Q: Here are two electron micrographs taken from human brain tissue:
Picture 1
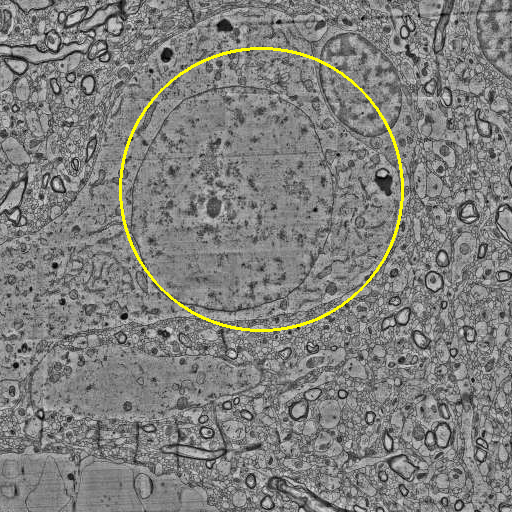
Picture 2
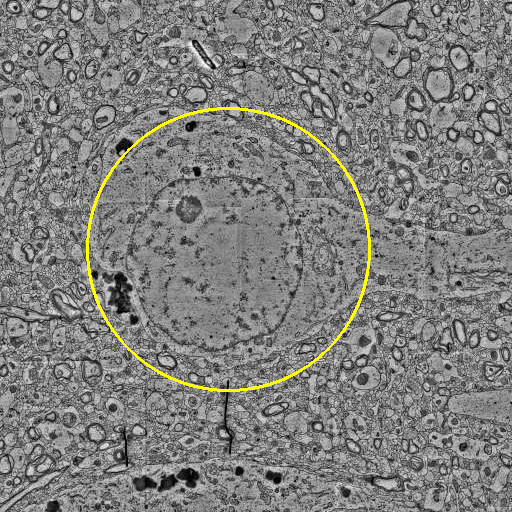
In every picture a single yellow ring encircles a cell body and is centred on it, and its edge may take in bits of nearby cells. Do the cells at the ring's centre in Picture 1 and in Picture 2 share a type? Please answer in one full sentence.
Yes, the cells at the ring's centre in Picture 1 and Picture 2 share a type.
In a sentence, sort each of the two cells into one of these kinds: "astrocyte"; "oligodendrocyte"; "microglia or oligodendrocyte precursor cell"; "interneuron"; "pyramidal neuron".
Each of the two rings surrounds a pyramidal neuron.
